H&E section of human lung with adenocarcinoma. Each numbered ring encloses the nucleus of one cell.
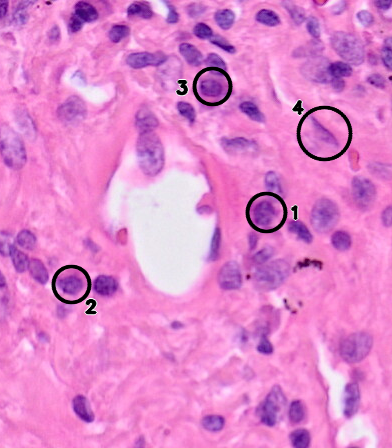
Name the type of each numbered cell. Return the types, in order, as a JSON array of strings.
["plasma cell", "plasma cell", "plasma cell", "endothelial cell"]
